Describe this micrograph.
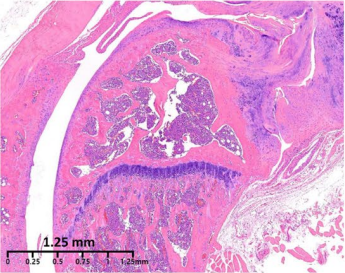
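A fairly straight band of purple-stained cartilage runs across the lower part of the bone end. Above it, pink bony trabeculae surround irregular marrow spaces holding purple marrow cells and some clear gaps. A curved band of dense pink tissue runs along the left side of the joint. Pale loose connective tissue with some muscle lies at the lower right.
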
